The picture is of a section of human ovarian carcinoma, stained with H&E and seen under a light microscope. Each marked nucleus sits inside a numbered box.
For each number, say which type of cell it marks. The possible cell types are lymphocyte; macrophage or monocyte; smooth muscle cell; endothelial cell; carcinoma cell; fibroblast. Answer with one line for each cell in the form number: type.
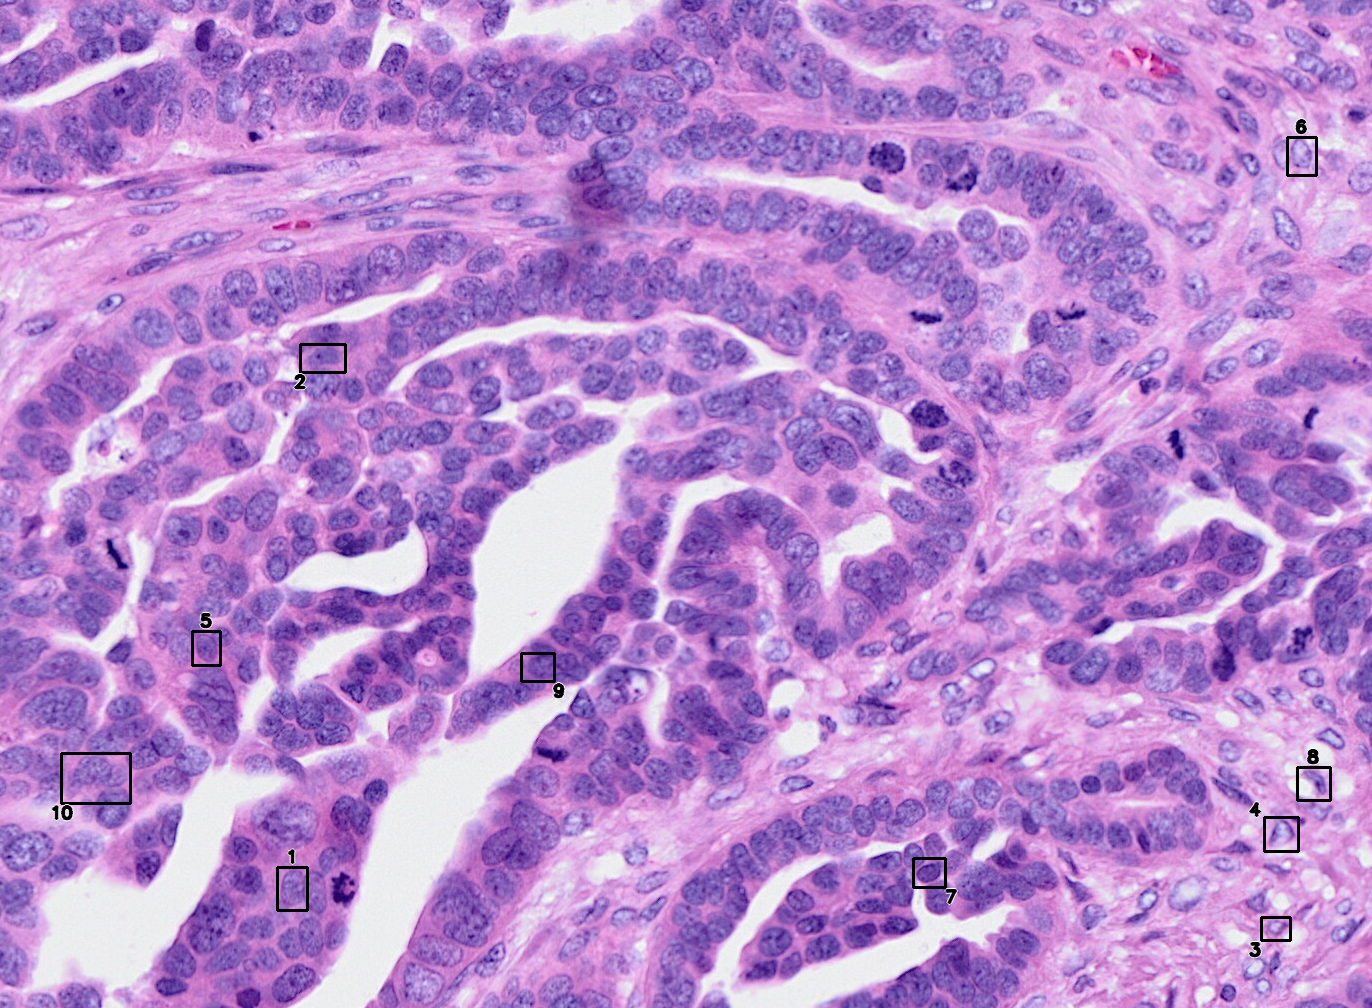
1: carcinoma cell
2: carcinoma cell
3: fibroblast
4: fibroblast
5: carcinoma cell
6: fibroblast
7: carcinoma cell
8: fibroblast
9: carcinoma cell
10: carcinoma cell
